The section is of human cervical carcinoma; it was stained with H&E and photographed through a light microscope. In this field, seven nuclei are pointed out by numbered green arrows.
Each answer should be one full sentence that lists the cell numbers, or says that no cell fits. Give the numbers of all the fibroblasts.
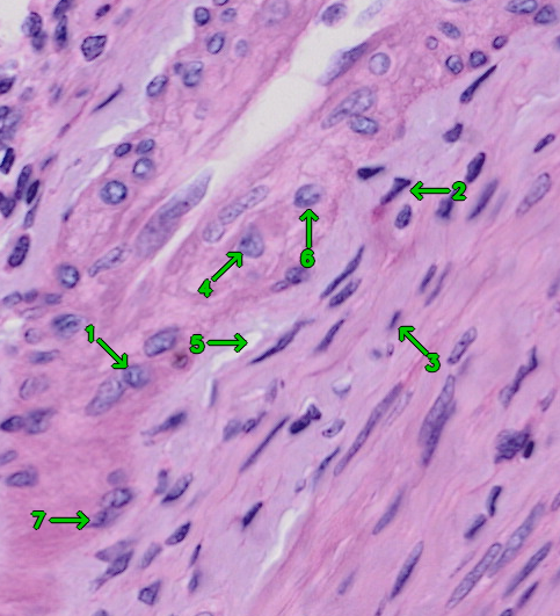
The cells with the numbers 2, 3 and 5 are fibroblasts.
